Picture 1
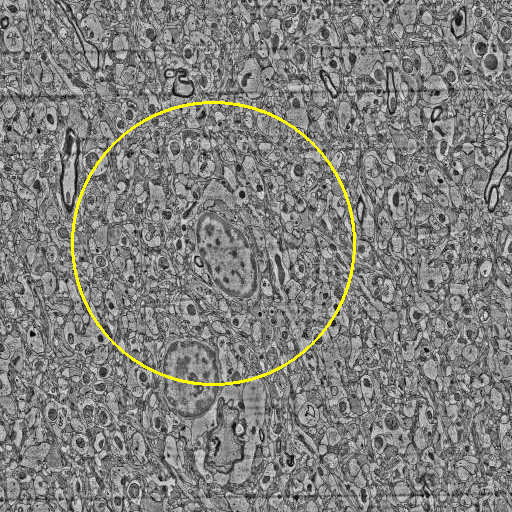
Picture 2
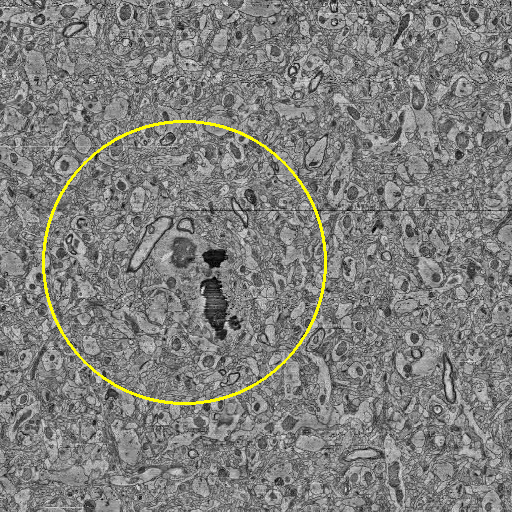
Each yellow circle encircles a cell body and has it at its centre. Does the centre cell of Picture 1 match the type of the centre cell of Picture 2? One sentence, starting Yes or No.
No, the cell centred in Picture 1 and the one in Picture 2 have separate types.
